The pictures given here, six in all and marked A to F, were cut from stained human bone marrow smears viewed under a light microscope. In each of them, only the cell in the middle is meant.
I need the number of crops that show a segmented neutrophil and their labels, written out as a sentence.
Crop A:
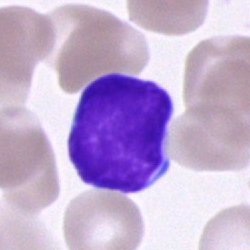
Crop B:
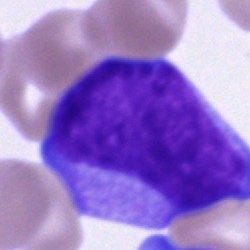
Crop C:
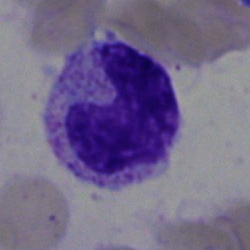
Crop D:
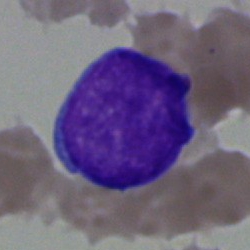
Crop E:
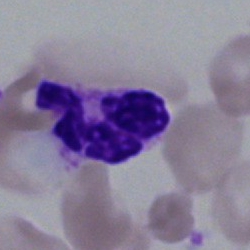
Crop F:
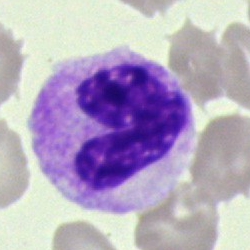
Just a single crop contains a segmented neutrophil: it is crop E.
